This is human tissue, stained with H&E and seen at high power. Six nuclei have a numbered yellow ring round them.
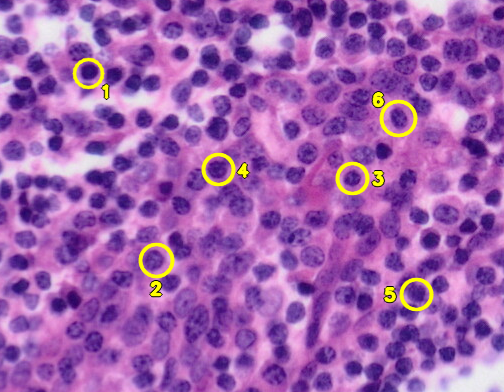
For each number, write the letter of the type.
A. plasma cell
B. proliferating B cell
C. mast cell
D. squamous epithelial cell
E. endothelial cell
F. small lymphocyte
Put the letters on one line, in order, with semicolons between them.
F; A; A; A; F; A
